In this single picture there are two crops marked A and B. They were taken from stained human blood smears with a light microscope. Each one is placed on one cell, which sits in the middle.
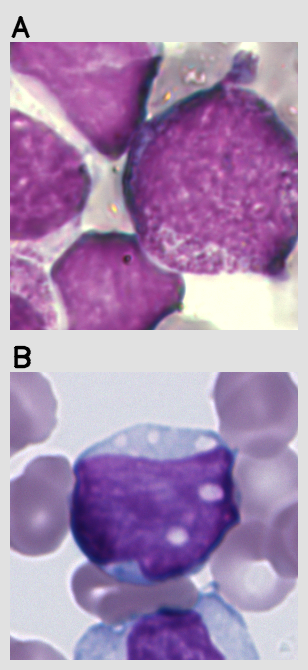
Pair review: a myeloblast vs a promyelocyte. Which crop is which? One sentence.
While crop A is a promyelocyte, crop B is a myeloblast.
